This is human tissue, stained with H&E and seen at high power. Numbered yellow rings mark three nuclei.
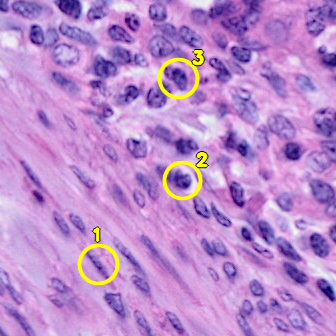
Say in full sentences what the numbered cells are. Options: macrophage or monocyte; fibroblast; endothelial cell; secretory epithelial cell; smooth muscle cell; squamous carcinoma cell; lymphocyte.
Cell 1 is a smooth muscle cell, cell 2 is a lymphocyte and cell 3 is a lymphocyte.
